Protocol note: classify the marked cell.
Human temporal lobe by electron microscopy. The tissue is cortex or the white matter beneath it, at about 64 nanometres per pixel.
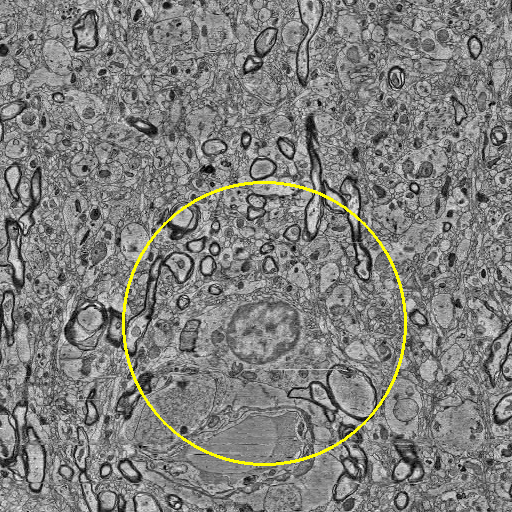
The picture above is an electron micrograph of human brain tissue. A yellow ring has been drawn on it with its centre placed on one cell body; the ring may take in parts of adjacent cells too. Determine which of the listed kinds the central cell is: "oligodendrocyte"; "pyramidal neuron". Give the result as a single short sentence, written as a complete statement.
The central cell is an oligodendrocyte.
